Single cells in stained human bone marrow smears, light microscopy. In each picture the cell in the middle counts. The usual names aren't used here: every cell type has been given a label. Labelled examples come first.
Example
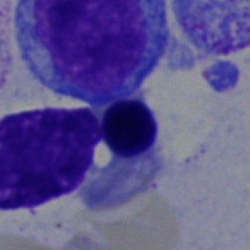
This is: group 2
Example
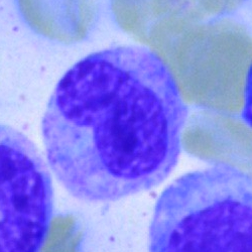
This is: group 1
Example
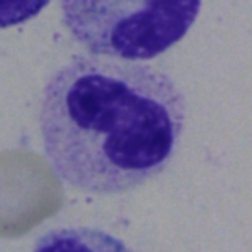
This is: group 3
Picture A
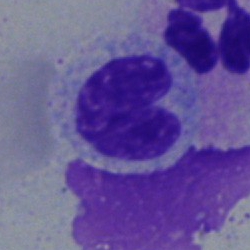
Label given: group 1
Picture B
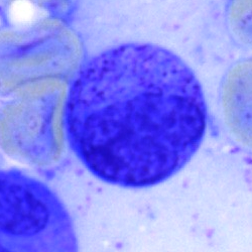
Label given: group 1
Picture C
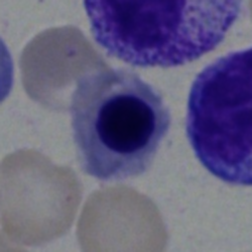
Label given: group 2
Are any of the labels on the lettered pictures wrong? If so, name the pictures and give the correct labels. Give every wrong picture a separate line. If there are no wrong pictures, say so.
A should be group 3, not group 1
